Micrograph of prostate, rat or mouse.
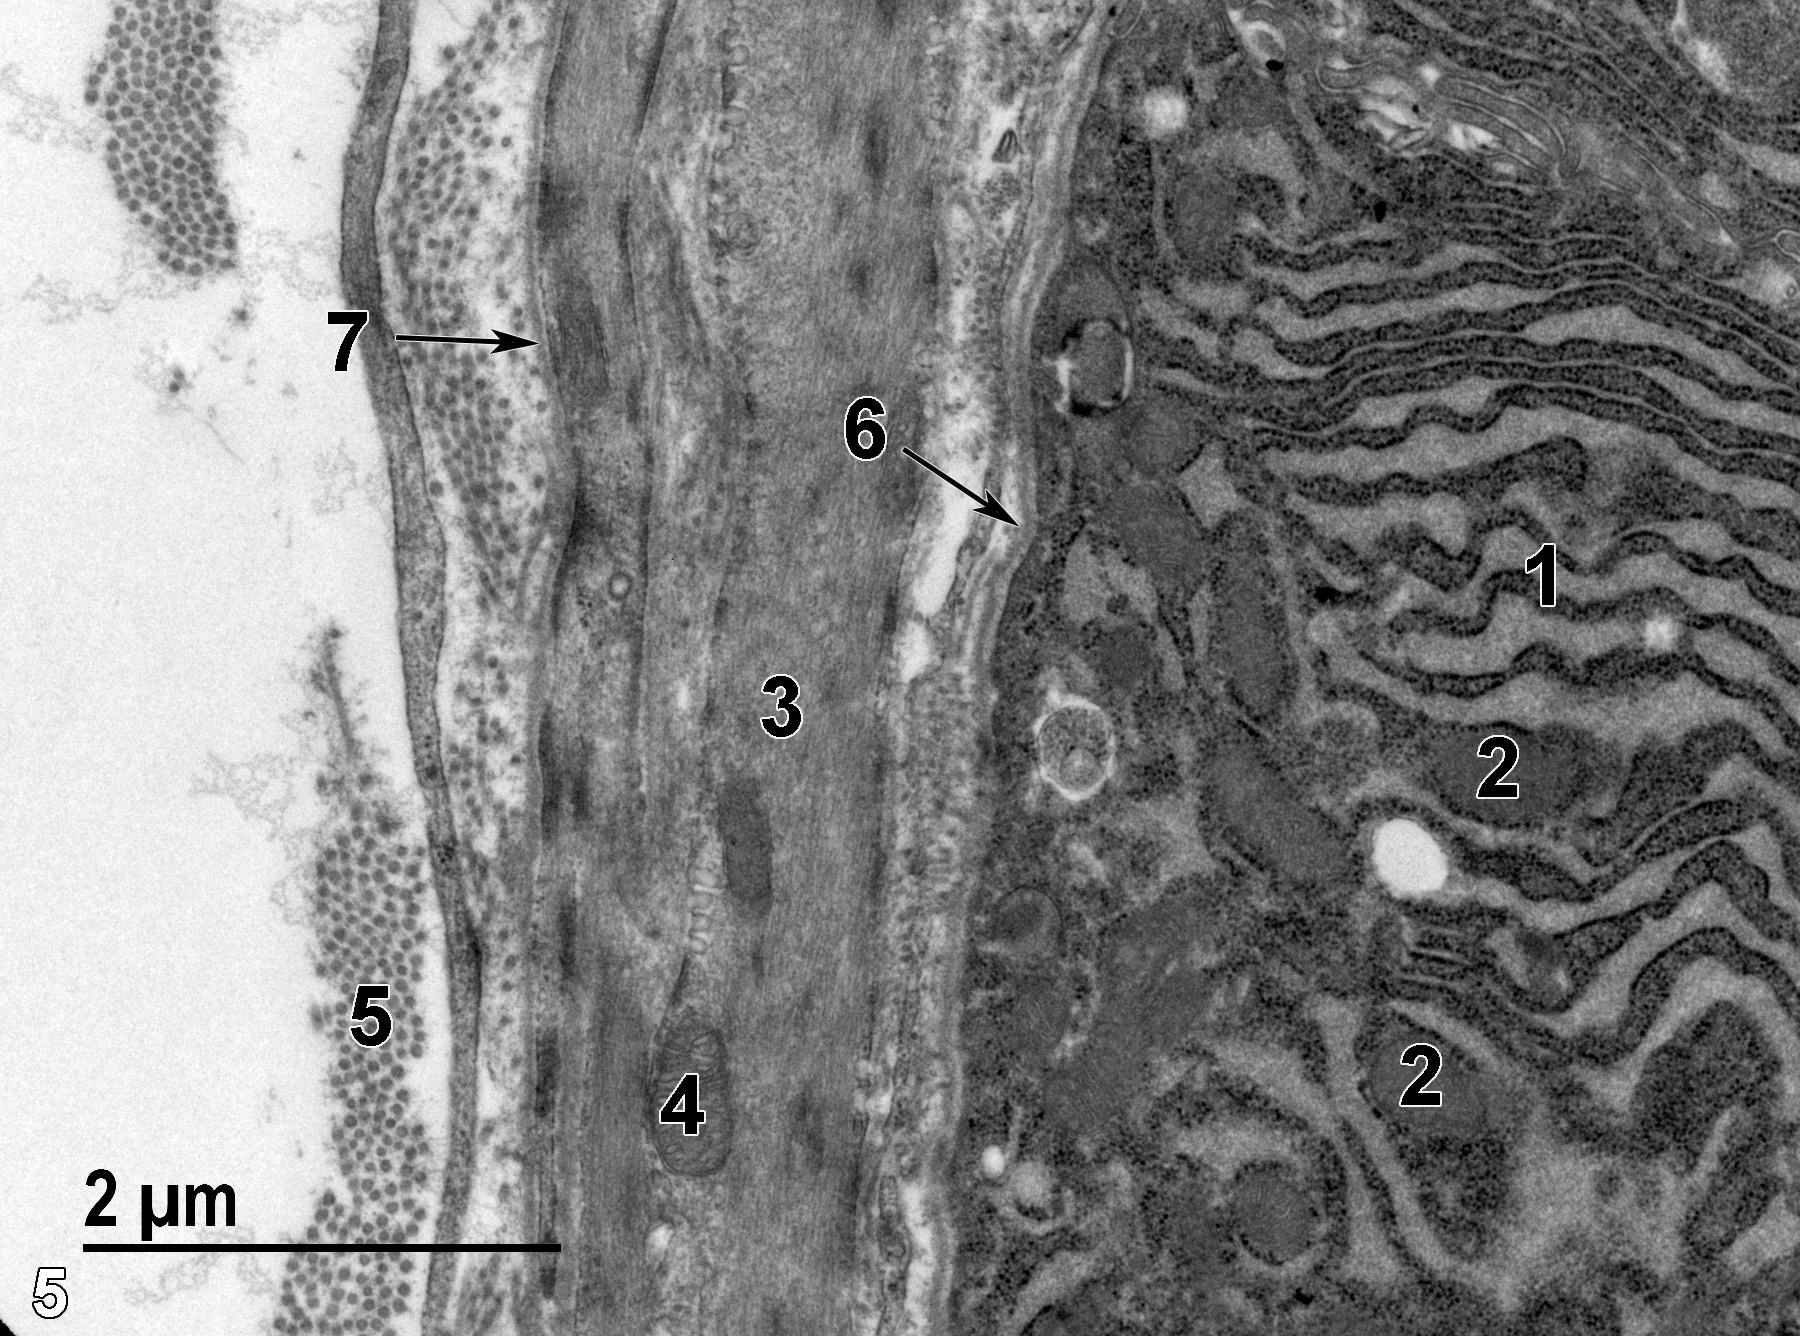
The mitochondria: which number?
The mitochondria: 4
